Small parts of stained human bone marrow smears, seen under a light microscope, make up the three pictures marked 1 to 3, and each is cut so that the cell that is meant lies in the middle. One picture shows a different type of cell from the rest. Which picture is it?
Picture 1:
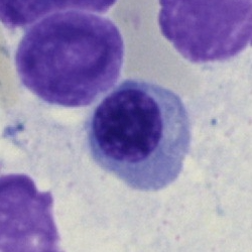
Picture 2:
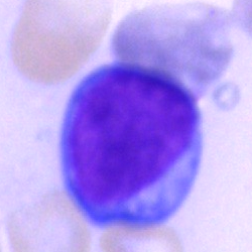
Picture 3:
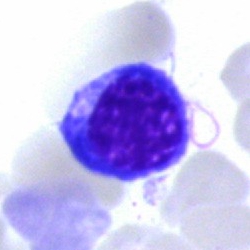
2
